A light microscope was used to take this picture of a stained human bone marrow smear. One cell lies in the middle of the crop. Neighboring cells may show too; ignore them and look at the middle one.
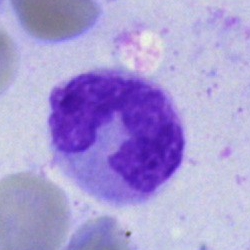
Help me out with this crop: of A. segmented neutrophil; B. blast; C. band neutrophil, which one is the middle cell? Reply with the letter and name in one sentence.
The middle of the crop holds a band neutrophil, which points to option C.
